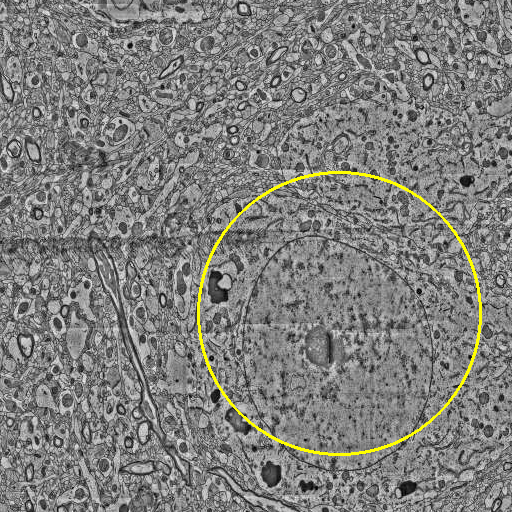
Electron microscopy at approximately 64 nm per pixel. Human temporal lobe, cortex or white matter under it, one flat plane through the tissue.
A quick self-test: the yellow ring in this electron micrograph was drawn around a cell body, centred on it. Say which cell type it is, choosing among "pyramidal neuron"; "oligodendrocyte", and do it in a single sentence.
The yellow-ringed cell is a pyramidal neuron.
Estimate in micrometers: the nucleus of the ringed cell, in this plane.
In this plane the nucleus spans approximately 15 by 12 micrometers.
